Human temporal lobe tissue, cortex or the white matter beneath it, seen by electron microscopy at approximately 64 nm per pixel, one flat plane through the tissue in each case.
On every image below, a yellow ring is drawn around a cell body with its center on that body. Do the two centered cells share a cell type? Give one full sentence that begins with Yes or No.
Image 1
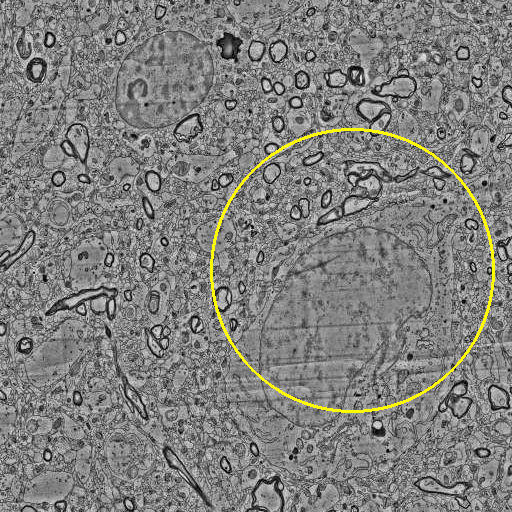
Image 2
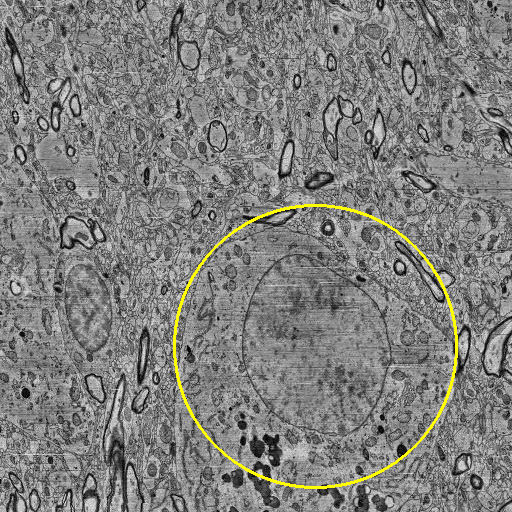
No, the centered cells in the two images are of two separate cell types.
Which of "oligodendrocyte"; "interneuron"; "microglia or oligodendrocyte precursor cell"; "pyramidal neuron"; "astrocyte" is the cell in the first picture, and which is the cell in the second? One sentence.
The two differ: the first cell is an interneuron and the second is a pyramidal neuron.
